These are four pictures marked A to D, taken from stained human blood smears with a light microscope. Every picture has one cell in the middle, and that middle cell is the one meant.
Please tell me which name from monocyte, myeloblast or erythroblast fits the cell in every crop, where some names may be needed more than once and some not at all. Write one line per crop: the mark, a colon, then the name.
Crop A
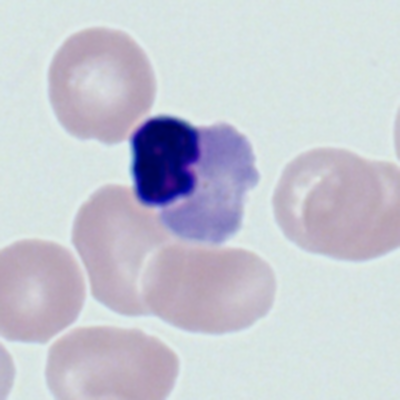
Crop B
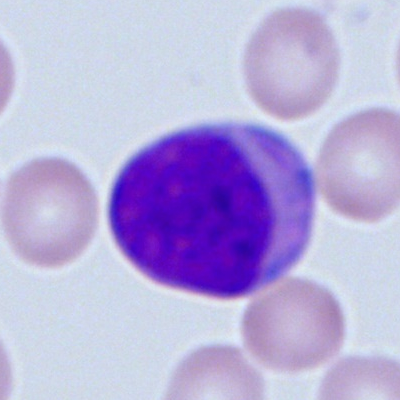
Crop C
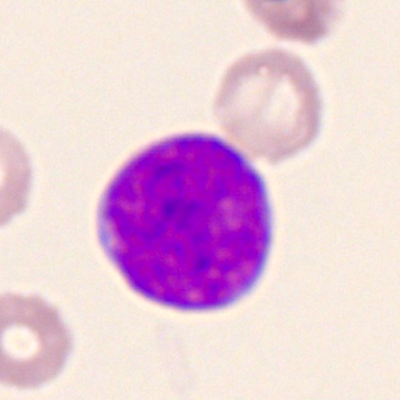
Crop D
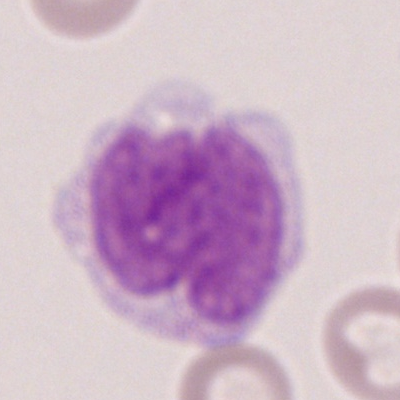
A: erythroblast
B: myeloblast
C: myeloblast
D: monocyte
